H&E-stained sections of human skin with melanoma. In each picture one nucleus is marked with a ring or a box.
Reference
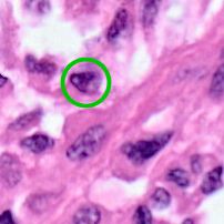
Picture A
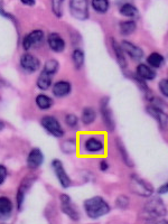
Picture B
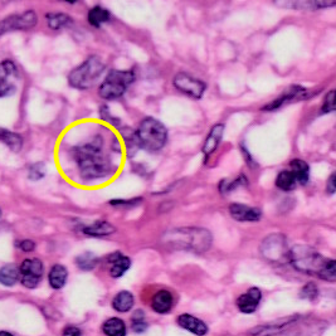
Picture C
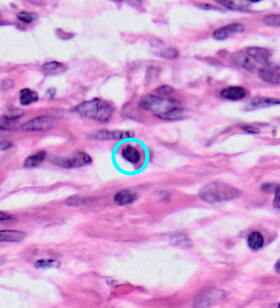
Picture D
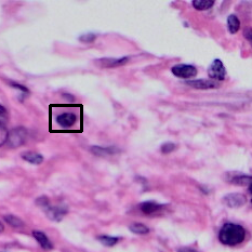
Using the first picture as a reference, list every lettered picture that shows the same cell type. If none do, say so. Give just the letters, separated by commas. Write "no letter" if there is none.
B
